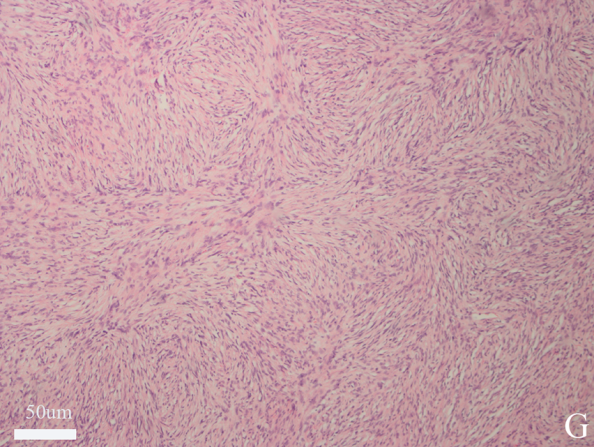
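This is a spindle cell tumor with dense, pink collagenous stroma. The spindle cells have elongated, slender, dark purple nuclei and scant cytoplasm that merges with the surrounding fibres. The cells and the pink fibres run together in interlacing fascicles that swirl in places to give a whorled, storiform pattern. The cells are fairly evenly spaced, and the pink fibrous material between them takes up much of the tissue.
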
